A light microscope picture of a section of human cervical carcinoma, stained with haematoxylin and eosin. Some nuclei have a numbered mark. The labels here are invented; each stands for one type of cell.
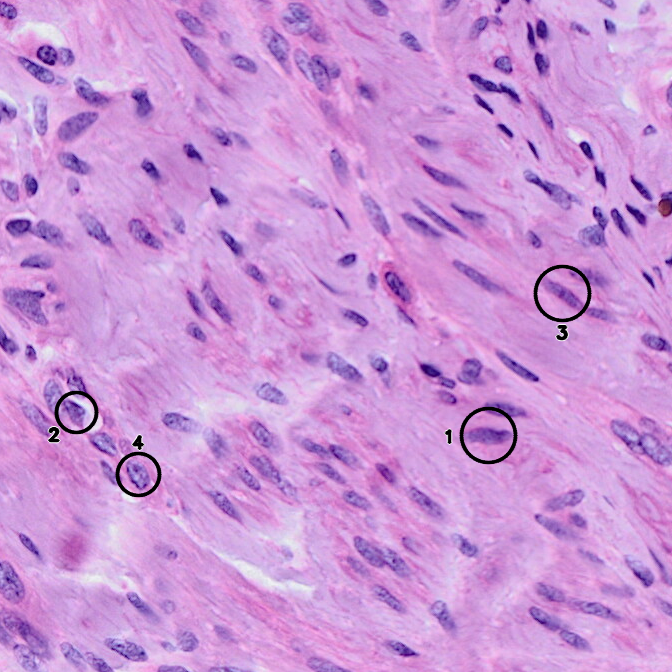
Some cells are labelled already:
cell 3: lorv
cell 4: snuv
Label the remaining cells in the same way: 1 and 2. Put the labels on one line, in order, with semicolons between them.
lorv; snuv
